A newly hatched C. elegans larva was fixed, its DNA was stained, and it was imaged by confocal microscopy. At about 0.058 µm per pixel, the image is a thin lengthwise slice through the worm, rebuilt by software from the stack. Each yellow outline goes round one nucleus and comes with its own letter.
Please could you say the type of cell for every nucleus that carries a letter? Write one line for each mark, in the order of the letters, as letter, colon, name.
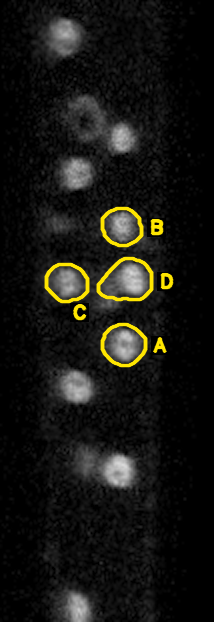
A: body wall muscle cell
B: body wall muscle cell
C: body wall muscle cell
D: neuron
